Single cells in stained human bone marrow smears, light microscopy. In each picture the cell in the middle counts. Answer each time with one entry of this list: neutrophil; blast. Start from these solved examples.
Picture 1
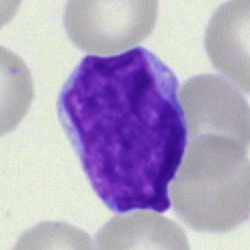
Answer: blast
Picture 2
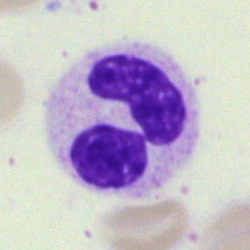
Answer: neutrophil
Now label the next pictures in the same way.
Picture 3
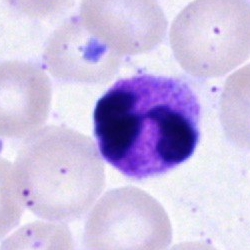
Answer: neutrophil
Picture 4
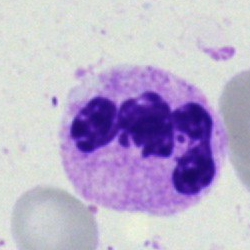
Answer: neutrophil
